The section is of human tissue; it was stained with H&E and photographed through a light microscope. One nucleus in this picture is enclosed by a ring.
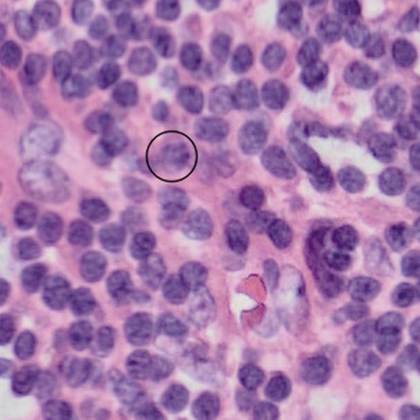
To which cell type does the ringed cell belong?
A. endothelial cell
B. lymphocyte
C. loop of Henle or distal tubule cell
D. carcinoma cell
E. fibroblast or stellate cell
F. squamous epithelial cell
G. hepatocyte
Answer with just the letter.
B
